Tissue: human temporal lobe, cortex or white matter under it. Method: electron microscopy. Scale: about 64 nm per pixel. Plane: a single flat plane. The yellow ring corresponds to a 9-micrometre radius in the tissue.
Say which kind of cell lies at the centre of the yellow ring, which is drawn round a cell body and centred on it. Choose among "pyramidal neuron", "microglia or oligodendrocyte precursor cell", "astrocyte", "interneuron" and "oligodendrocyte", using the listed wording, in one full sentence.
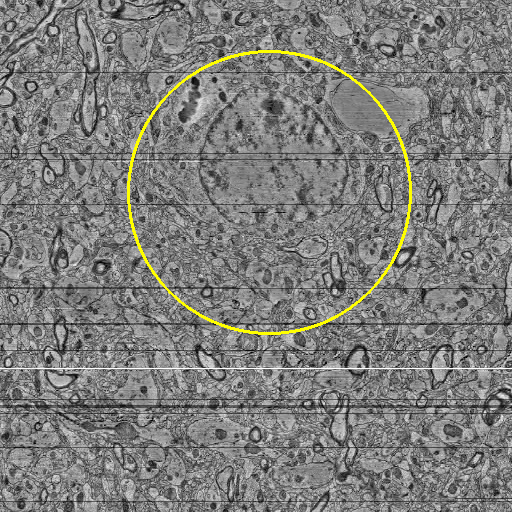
Going by the list, the cell at the yellow ring's centre is an interneuron.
